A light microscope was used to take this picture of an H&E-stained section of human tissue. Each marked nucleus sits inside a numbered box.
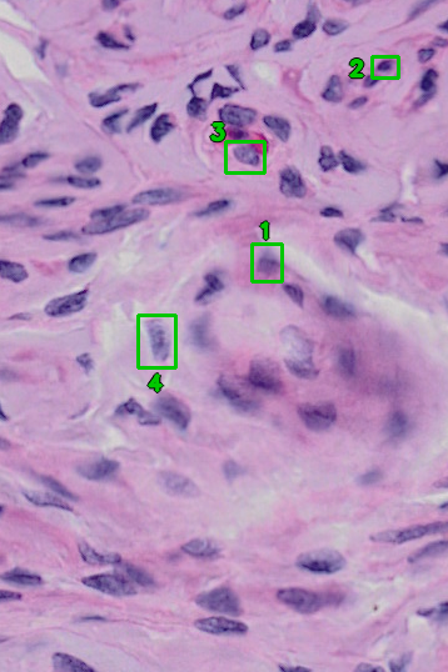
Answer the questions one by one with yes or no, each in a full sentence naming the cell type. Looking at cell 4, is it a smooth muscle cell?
No, for cell 4, the correct identification is a fibroblast instead of a smooth muscle cell.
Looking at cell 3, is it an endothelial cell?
Yes, the cell at the mark numbered 3 is an endothelial cell.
